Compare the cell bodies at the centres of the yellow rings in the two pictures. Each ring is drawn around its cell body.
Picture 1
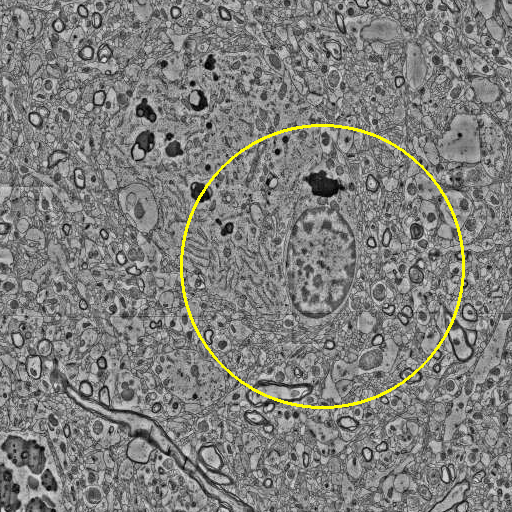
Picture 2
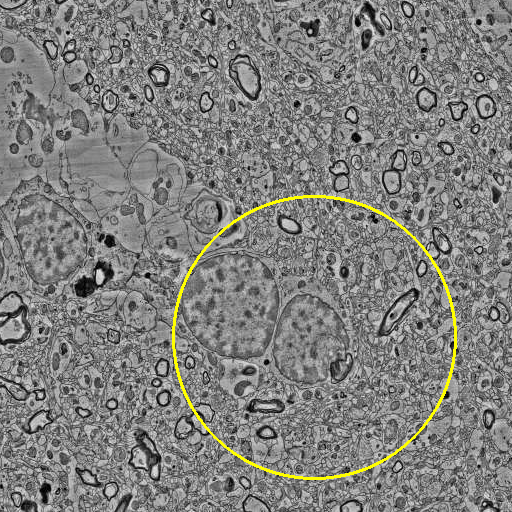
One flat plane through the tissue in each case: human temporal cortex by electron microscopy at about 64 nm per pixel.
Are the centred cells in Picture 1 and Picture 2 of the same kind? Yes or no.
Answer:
yes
